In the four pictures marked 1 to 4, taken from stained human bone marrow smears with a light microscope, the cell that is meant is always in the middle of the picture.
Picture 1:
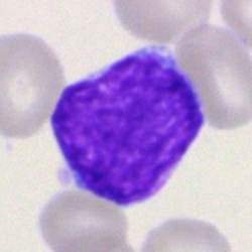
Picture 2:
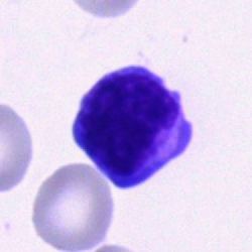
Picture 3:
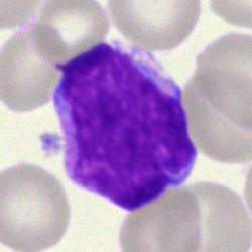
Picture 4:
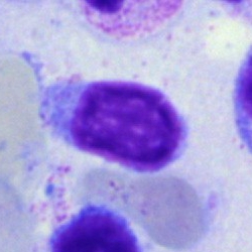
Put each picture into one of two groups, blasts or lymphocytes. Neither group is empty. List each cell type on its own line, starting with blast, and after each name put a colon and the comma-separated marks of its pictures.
blast: 1, 2, 3
lymphocyte: 4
